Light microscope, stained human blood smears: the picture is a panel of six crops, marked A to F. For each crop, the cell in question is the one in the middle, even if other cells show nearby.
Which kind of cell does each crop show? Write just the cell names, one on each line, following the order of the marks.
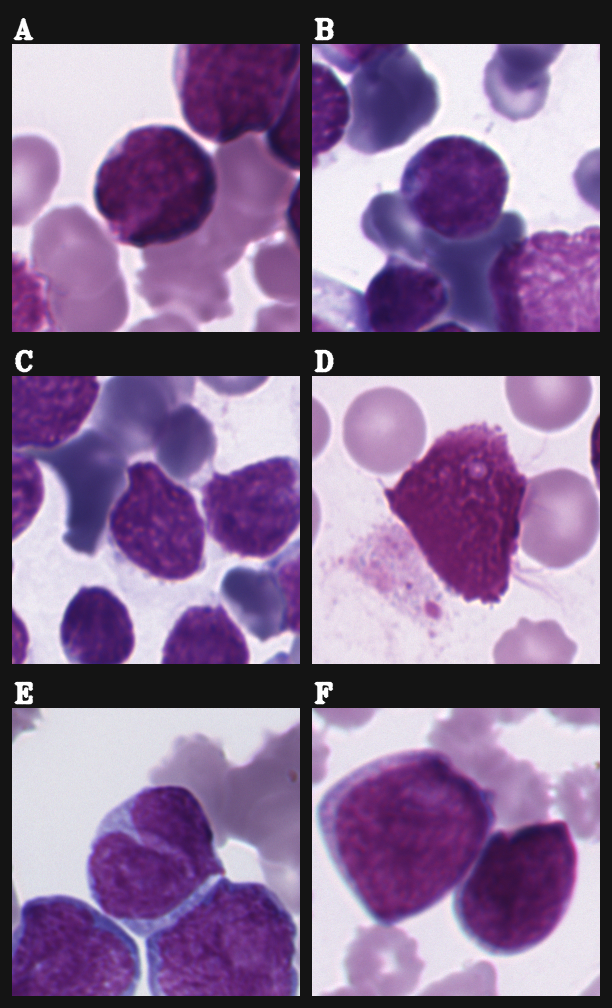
myeloblast
myeloblast
myeloblast
smudge cell
myeloblast
myeloblast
